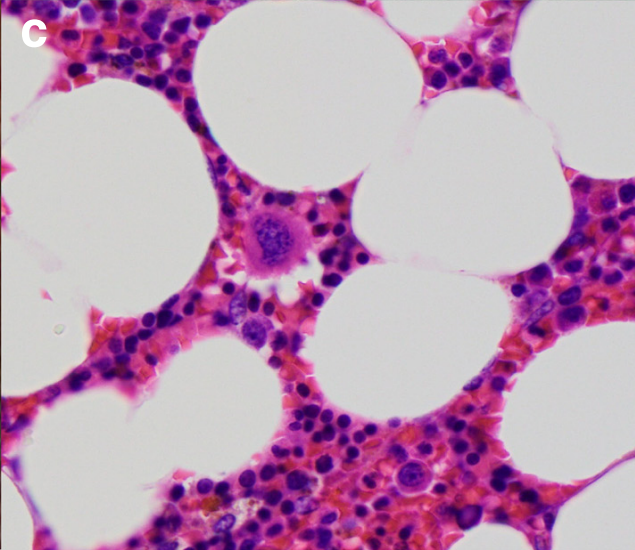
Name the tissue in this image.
Hematopoietic elements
